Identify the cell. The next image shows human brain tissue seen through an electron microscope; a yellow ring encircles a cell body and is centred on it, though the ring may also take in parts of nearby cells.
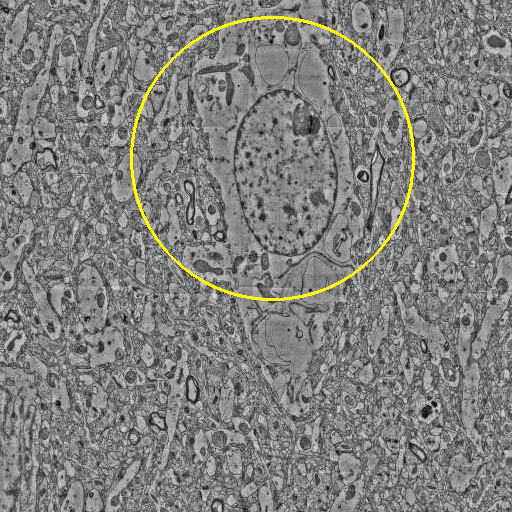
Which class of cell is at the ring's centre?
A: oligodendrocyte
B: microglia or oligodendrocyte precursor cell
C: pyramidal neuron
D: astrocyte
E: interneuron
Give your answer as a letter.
D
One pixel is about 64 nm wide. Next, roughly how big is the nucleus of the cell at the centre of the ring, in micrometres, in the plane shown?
The nucleus is about 10 micrometres in length and 7 in width, clearly longer than it is wide in this plane.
